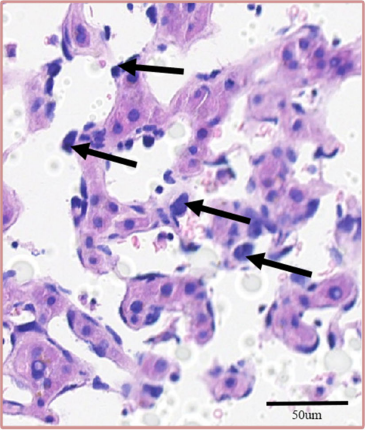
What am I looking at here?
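Liver tissue is shown with cords of large polygonal cells with pink granular cytoplasm and round central nuclei, separated by open sinusoidal spaces. Along the edges of these cords, lining the sinusoids, lie scattered cells with enlarged, very dark purple-blue nuclei. These lining cells are smaller in cytoplasm than the cord cells but their nuclei are irregular and intensely hyperchromatic. The sinusoidal spaces are widened and mostly empty, with a few small round cells and pale droplets within them. The cords themselves are thin and branching, giving an open, lacy arrangement.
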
